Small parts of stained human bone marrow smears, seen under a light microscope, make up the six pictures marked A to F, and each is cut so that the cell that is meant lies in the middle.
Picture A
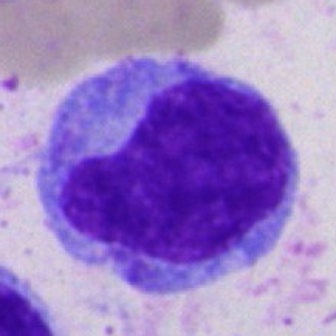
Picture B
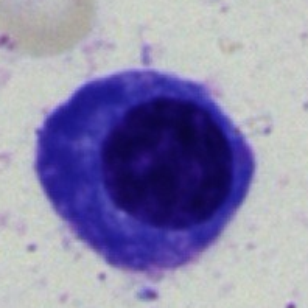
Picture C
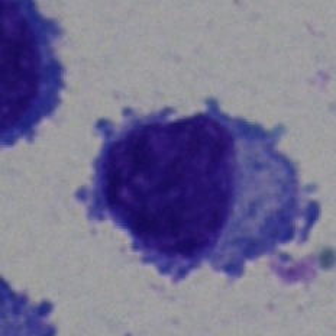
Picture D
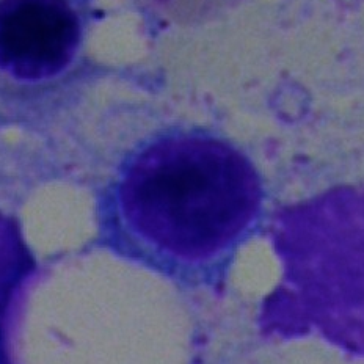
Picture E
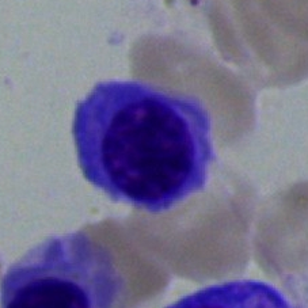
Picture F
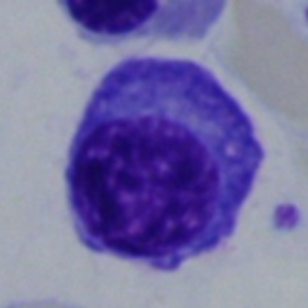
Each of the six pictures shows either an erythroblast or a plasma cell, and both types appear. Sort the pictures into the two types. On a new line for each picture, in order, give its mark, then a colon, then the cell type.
A: plasma cell
B: plasma cell
C: plasma cell
D: erythroblast
E: erythroblast
F: plasma cell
